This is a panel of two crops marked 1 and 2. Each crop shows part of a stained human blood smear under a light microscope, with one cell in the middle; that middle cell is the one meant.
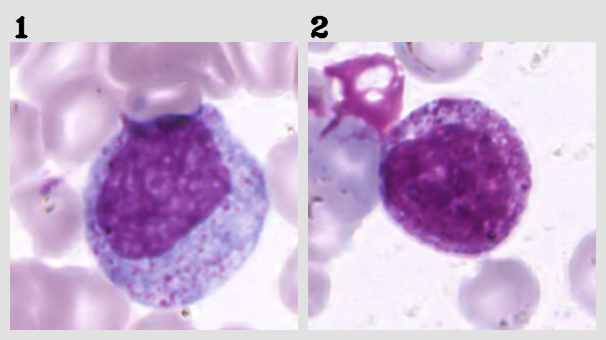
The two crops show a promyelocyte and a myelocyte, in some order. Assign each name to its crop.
1: promyelocyte
2: myelocyte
